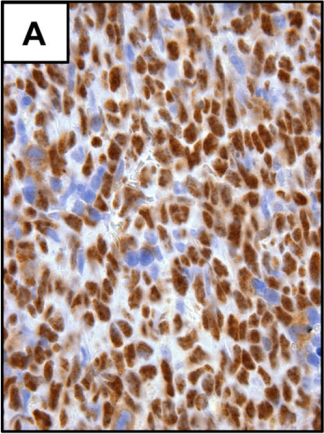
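Densely packed tumor cells fill the field, most with oval to elongated nuclei stained deep brown. The cells have scant cytoplasm and lie closely crowded, and a minority of nuclei interspersed among them are stained only blue by the counterstain.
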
